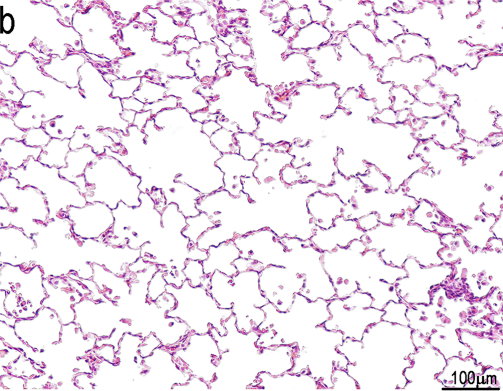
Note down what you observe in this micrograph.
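Lung tissue with its normal architecture: wide, open alveolar spaces separated by thin, delicate septa stained pink with purple nuclei of flattened lining cells. Only few free cells lie in the air spaces, and a small cluster of cells is seen in one corner.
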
